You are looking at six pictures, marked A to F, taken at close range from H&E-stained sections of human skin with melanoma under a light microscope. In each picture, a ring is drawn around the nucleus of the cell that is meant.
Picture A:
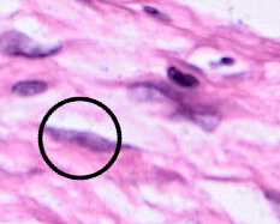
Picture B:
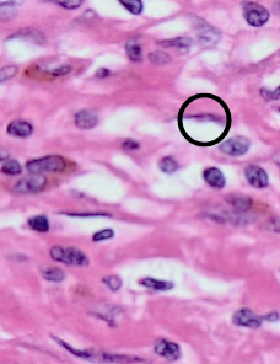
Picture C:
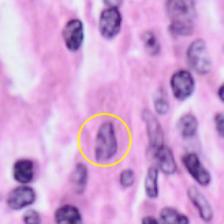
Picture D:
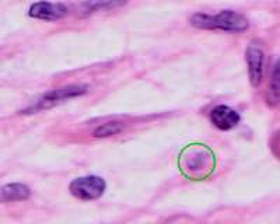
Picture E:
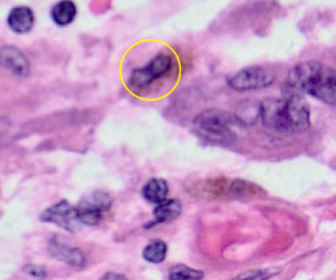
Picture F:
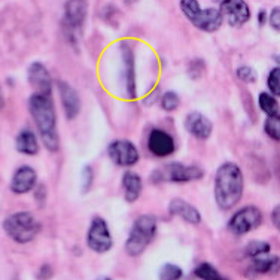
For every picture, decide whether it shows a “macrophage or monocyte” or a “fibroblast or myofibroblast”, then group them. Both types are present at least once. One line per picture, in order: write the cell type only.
fibroblast or myofibroblast
fibroblast or myofibroblast
macrophage or monocyte
macrophage or monocyte
macrophage or monocyte
fibroblast or myofibroblast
